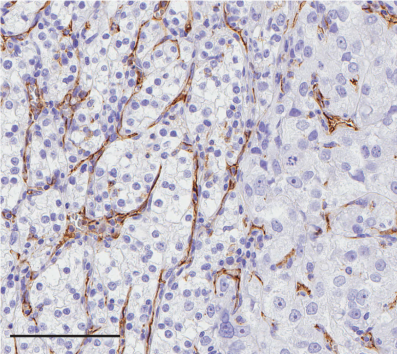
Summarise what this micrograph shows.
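This is renal cell carcinoma tissue in which a dense network of thin, branching brown-stained vessels surrounds nests of tumour cells. On the left, the tumour cells have pale, clear cytoplasm, distinct cell borders and small round blue nuclei; on the right, the cells are larger with more abundant, finely granular cytoplasm and larger nuclei with visible nucleoli. The brown vessel network is markedly sparser among the cells on the right.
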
